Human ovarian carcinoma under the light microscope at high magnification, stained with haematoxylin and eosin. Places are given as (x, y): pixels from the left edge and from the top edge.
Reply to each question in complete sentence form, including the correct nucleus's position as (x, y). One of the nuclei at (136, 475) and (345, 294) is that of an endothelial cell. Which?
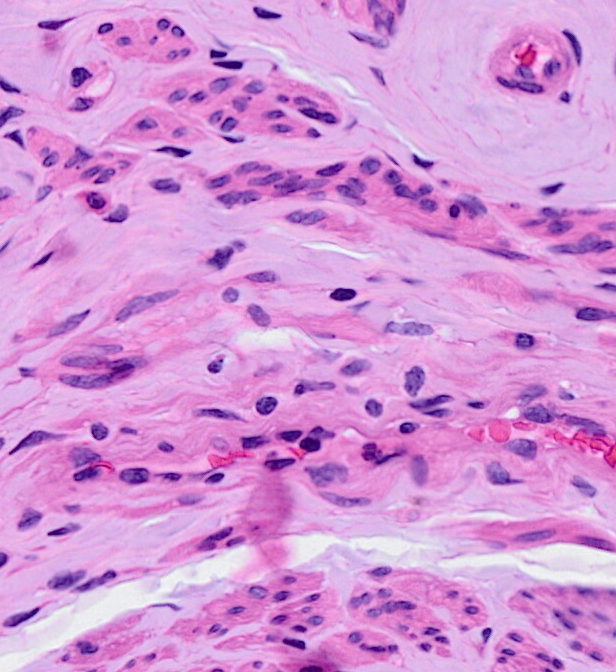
The nucleus at (136, 475) is identified as belonging to an endothelial cell.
